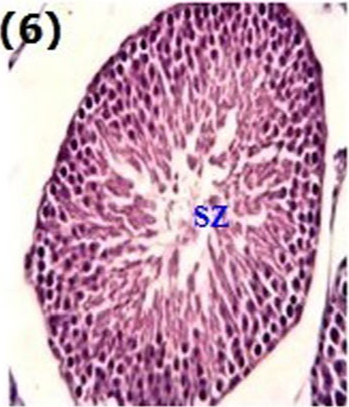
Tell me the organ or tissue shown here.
testes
